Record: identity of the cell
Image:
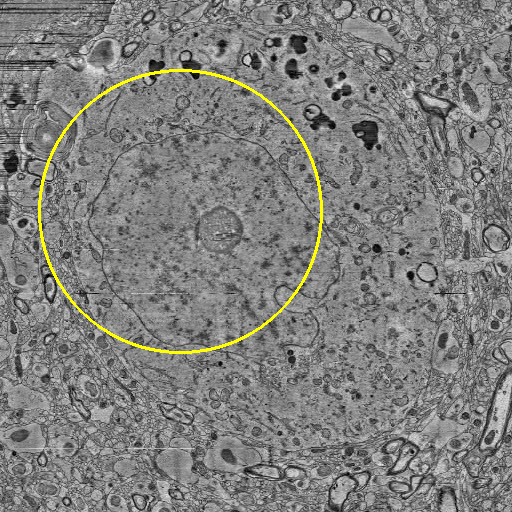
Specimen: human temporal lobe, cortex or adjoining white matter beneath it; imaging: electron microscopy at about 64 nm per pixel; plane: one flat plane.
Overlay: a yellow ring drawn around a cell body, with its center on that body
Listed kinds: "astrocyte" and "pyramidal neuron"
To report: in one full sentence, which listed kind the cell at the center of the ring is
In the image, the cell body at the ring's center belongs to a pyramidal neuron.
